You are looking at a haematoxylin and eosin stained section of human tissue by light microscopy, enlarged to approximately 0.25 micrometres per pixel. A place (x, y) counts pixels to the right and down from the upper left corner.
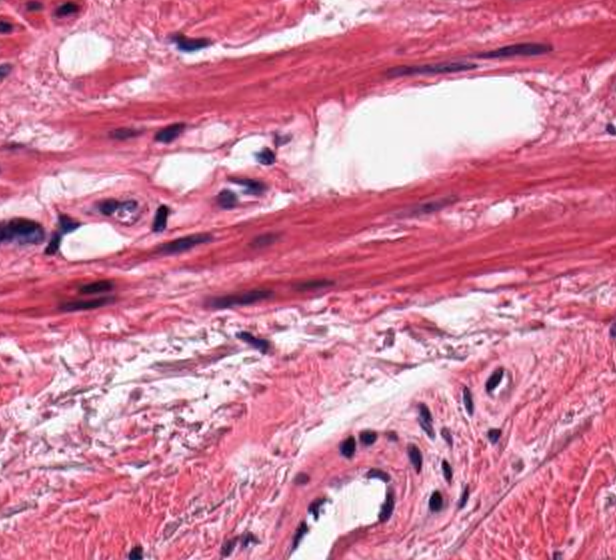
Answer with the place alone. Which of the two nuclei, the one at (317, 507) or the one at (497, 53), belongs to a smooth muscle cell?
(497, 53)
